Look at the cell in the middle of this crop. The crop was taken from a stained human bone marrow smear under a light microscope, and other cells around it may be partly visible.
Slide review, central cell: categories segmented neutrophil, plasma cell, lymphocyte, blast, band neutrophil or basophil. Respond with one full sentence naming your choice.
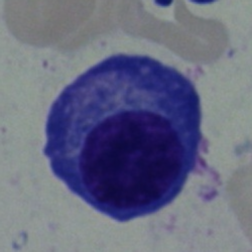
This particular crop is centered on a plasma cell.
